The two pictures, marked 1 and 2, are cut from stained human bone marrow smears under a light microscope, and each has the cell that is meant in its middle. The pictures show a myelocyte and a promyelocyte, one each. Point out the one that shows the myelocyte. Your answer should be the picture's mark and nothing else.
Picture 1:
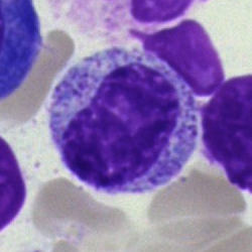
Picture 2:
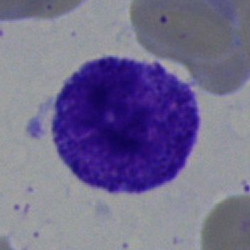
1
